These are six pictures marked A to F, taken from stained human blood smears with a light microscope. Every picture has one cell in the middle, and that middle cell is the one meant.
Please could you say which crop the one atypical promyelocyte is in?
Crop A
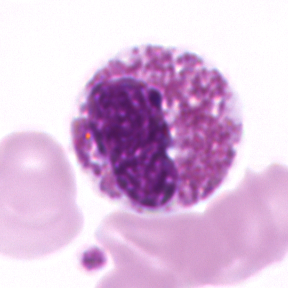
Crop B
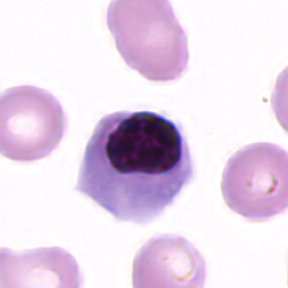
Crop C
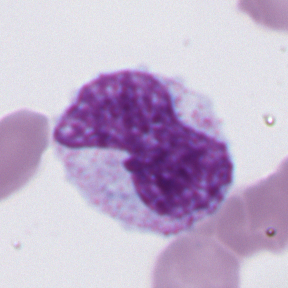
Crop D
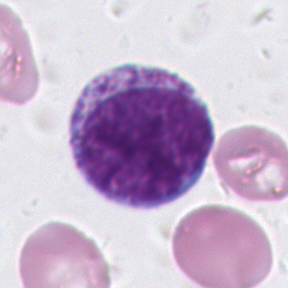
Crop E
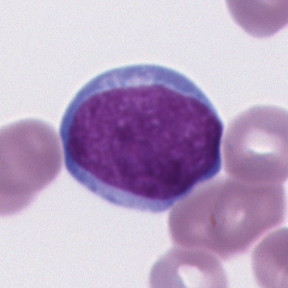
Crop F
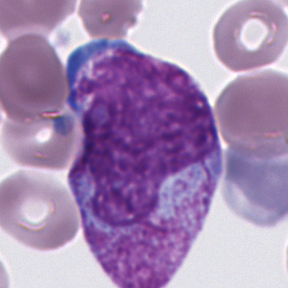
F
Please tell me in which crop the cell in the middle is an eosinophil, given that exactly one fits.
A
